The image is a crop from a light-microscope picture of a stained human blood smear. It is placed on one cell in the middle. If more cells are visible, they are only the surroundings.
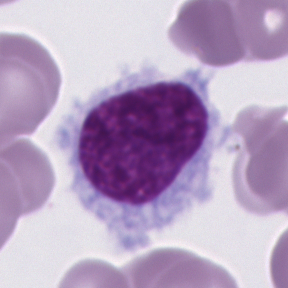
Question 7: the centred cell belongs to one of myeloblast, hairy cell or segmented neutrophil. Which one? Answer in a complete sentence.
The cell shown in the center of this light-microscope crop is a hairy cell.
